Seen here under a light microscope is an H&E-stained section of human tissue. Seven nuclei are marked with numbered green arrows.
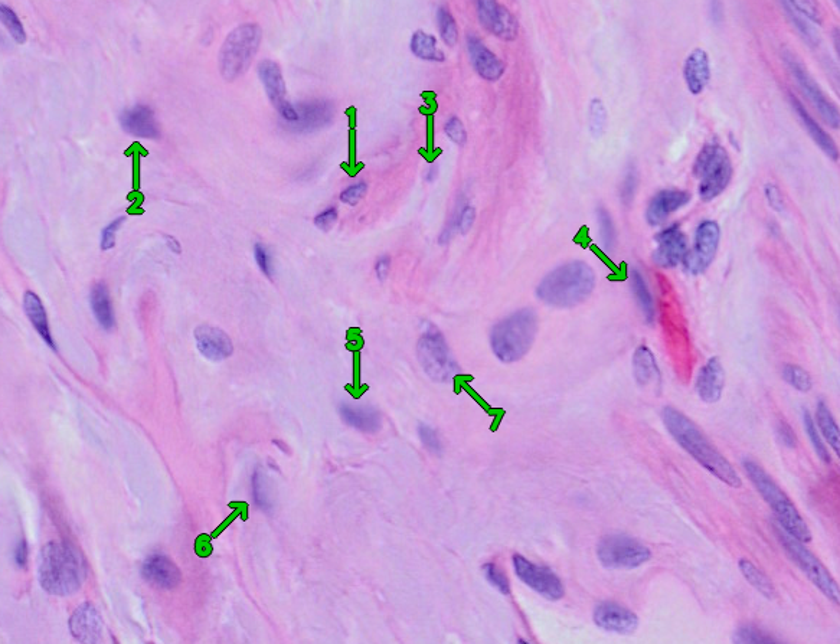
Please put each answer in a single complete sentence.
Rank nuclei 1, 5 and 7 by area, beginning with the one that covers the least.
Smallest first, the nuclei run 1, 5, 7.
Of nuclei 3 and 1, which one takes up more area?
Nucleus 1 is larger, with an area about 2.5 times that of nucleus 3.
